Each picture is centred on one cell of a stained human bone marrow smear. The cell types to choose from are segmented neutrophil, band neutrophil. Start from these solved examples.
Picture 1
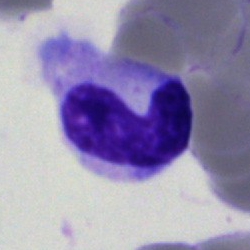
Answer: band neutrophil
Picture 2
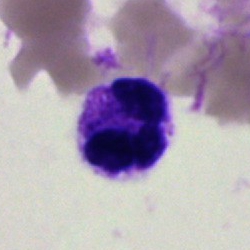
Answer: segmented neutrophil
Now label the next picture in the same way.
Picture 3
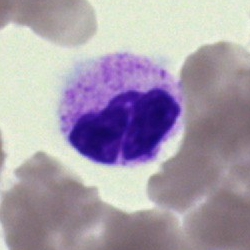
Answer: segmented neutrophil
